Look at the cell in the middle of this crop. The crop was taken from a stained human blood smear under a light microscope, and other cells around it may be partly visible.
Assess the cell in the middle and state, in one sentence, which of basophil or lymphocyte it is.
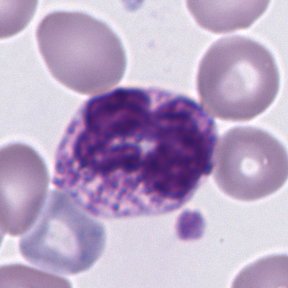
The cell found in the middle of this crop is a basophil.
